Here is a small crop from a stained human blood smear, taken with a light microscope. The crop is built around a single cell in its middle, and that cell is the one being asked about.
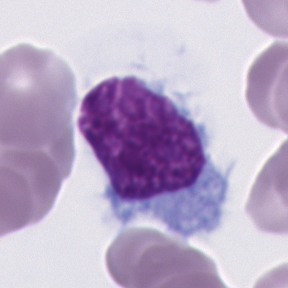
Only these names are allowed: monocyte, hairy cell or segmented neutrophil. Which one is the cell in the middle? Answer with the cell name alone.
hairy cell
